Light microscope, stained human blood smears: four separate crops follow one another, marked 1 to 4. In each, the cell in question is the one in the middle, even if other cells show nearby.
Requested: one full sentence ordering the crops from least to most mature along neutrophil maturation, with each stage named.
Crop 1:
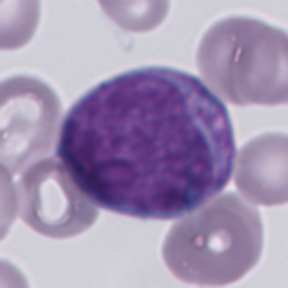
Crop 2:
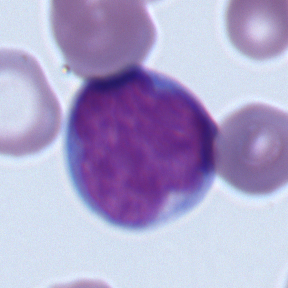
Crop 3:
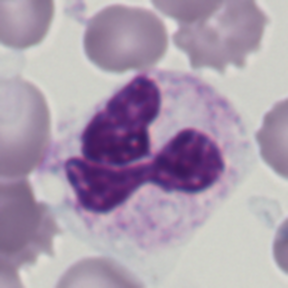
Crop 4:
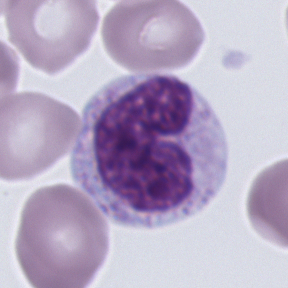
Starting from the least mature, the sequence proceeds crop 2 (a myeloblast), crop 1 (a promyelocyte), crop 4 (a band neutrophil) and crop 3 (a segmented neutrophil).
